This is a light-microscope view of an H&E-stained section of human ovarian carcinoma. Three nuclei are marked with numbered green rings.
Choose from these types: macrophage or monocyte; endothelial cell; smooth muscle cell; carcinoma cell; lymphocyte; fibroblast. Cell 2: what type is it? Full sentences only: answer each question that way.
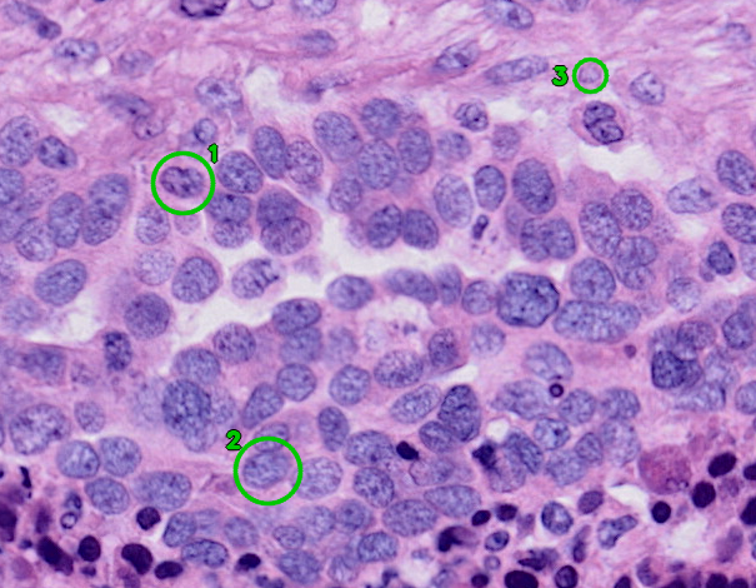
Recognised here as a carcinoma cell is the cell numbered 2.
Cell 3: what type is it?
Identified as a fibroblast is the cell bearing the number 3.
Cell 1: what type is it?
Marked with the number 1, this cell is a macrophage or monocyte.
